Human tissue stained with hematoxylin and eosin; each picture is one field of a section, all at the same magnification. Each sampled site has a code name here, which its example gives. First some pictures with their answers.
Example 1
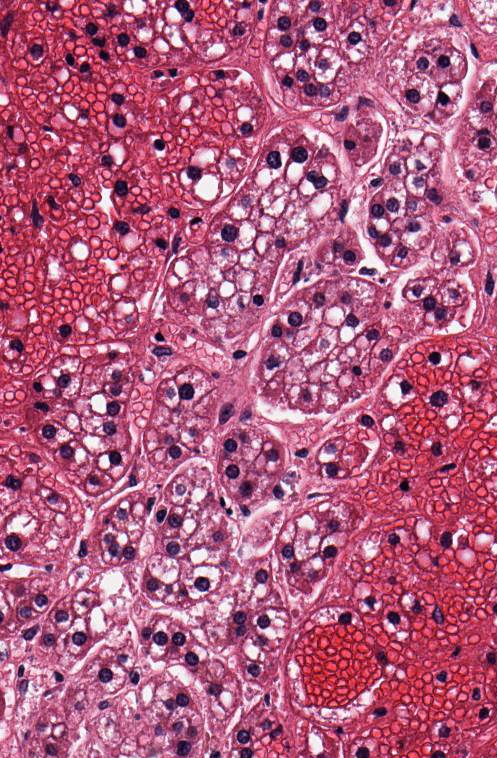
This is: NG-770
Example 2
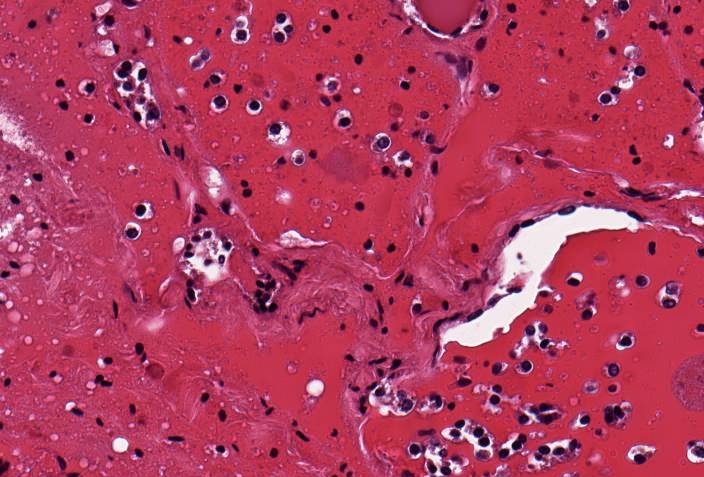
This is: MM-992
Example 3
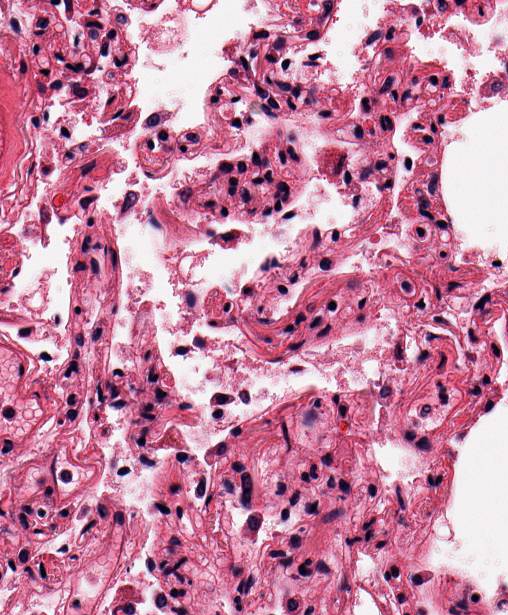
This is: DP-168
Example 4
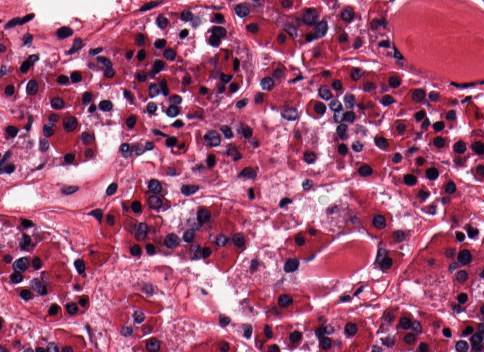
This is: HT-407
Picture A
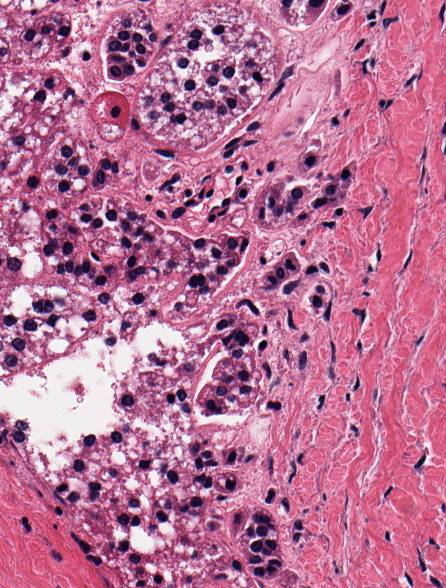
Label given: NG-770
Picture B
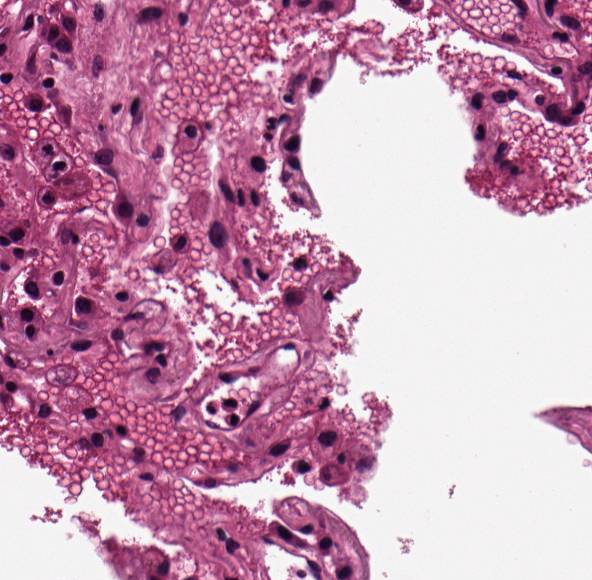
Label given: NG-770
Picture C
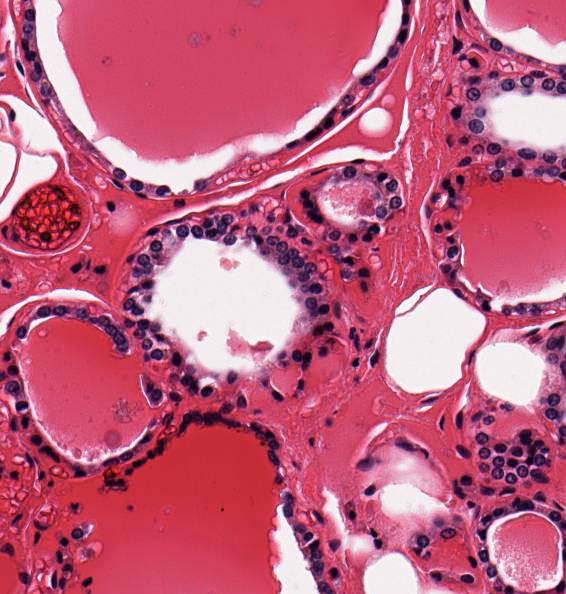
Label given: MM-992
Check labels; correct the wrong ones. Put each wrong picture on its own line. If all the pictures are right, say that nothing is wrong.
B: change NG-770 to DP-168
